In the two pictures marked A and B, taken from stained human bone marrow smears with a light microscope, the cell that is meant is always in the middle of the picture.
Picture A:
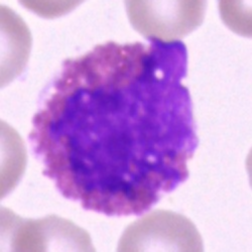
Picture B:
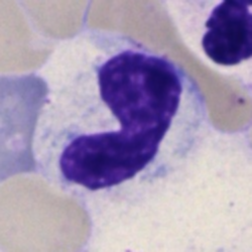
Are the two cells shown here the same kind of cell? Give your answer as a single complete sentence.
No, they differ: the cell is an eosinophil in picture A and a band neutrophil in picture B.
